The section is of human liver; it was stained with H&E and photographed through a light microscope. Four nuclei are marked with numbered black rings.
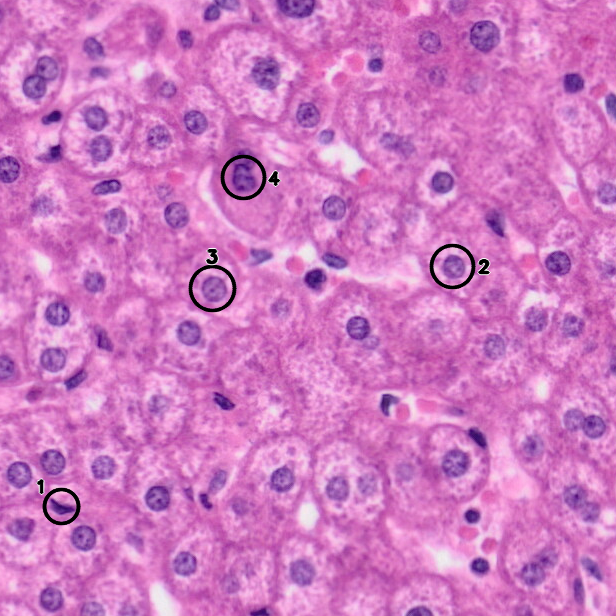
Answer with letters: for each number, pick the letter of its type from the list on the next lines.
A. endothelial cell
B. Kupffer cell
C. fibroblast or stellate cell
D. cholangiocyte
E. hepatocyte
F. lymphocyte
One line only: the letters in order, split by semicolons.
A; E; E; E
